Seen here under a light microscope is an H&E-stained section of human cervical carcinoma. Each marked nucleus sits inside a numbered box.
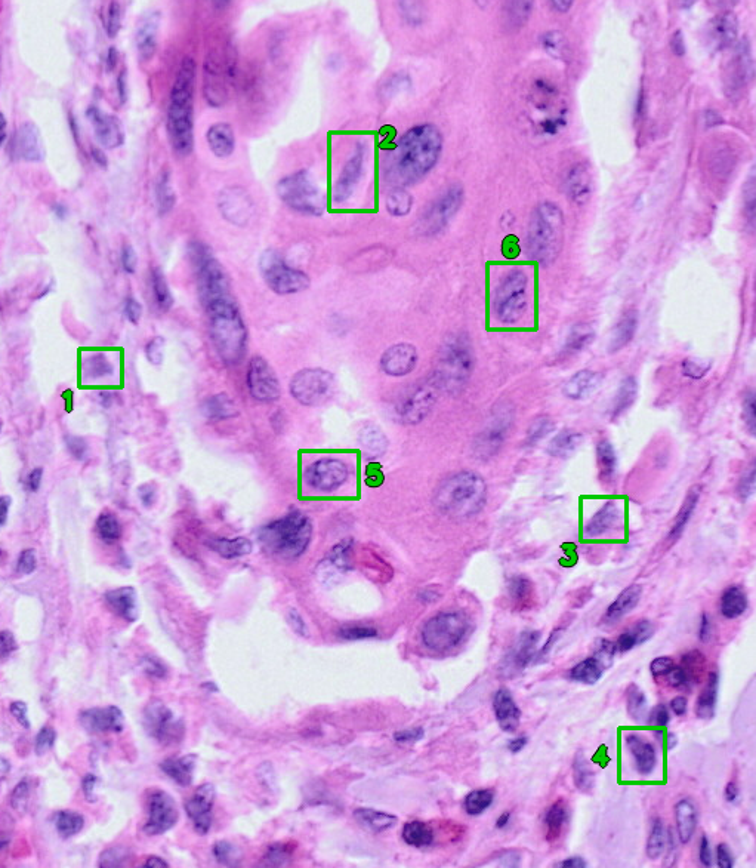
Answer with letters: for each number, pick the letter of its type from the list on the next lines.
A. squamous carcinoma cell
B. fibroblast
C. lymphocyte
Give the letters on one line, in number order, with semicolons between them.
B; A; B; C; A; A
